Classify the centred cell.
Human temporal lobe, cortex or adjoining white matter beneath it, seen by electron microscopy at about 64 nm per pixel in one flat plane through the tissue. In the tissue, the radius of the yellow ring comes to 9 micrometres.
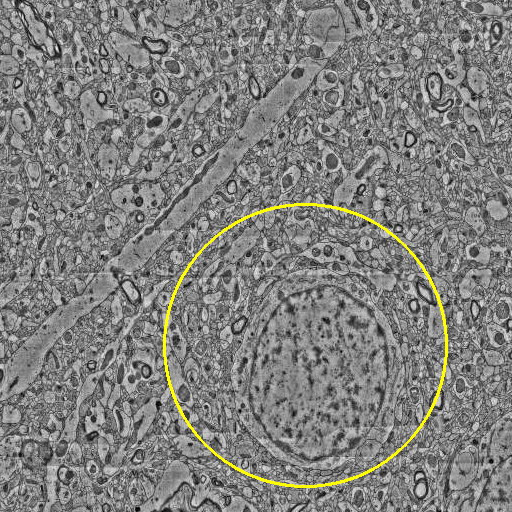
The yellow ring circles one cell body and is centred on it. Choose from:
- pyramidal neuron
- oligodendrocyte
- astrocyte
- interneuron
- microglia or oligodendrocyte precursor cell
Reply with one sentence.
The ring is centred on an interneuron.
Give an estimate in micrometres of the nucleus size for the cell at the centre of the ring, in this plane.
In this plane, the nucleus is roughly 11 by 9 micrometres.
